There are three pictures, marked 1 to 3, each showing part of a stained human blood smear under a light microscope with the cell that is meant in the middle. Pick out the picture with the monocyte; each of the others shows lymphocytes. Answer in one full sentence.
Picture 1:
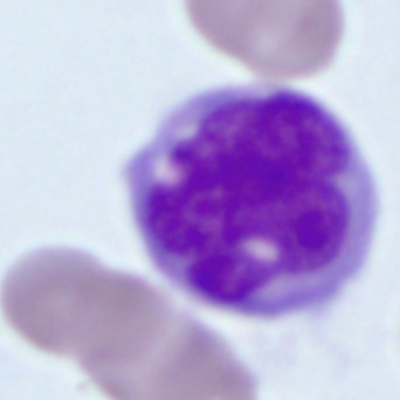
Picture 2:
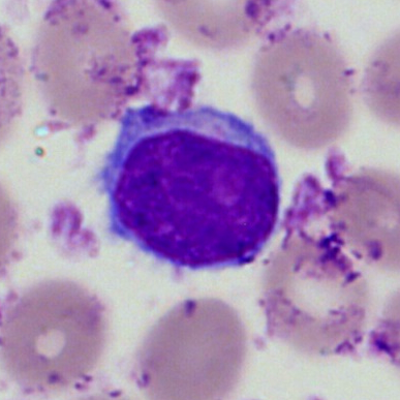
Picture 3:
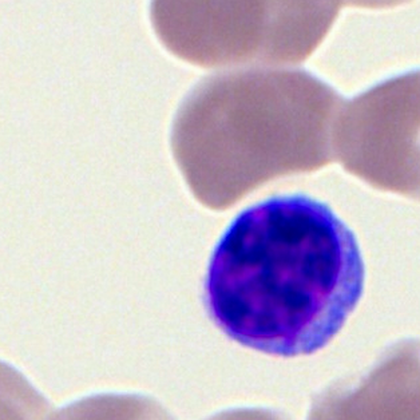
The cell in picture 1 is the monocyte.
